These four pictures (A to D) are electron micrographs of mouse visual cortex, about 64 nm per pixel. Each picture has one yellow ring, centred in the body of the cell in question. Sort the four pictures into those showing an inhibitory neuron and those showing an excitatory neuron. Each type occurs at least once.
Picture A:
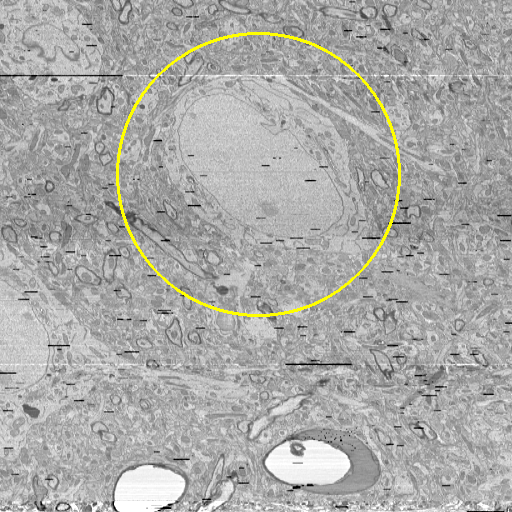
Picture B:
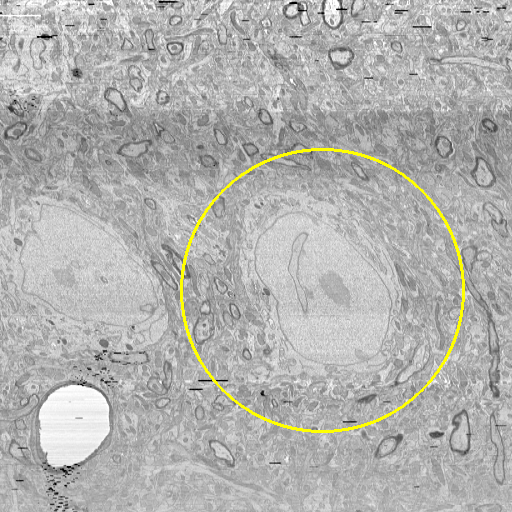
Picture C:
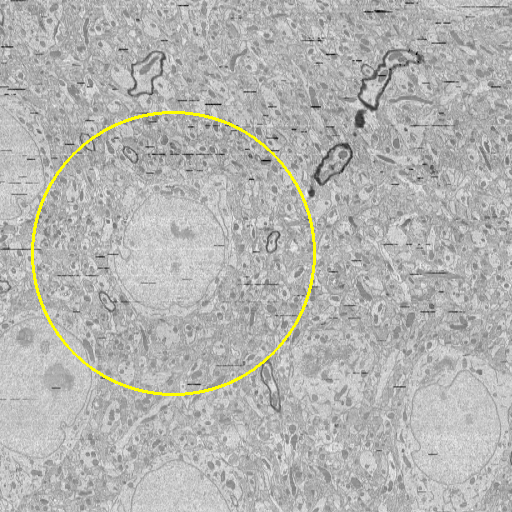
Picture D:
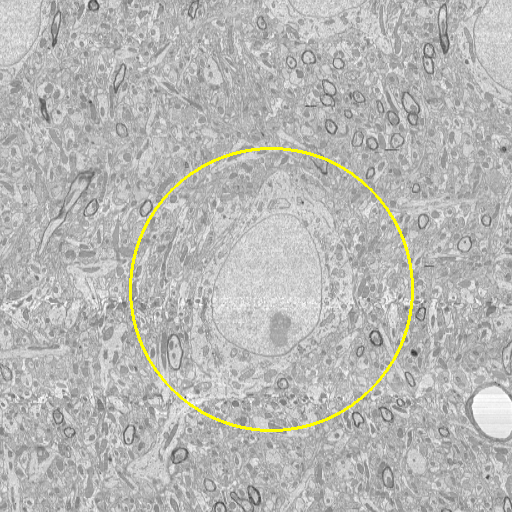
Picture C shows an inhibitory neuron, and pictures A, B and D show excitatory neurons.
